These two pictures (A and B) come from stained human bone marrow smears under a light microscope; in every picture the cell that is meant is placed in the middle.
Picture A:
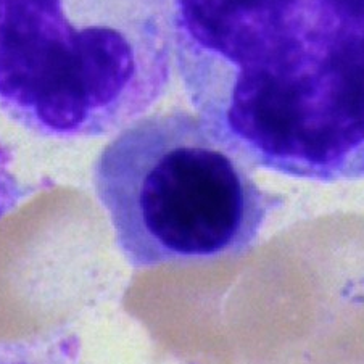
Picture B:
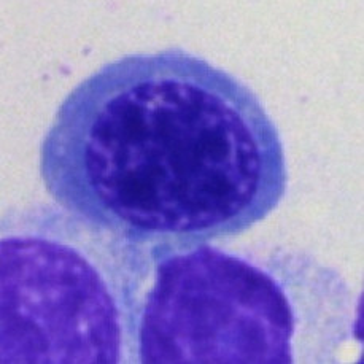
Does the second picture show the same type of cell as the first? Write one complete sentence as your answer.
Yes, they are the same type: both are erythroblasts.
